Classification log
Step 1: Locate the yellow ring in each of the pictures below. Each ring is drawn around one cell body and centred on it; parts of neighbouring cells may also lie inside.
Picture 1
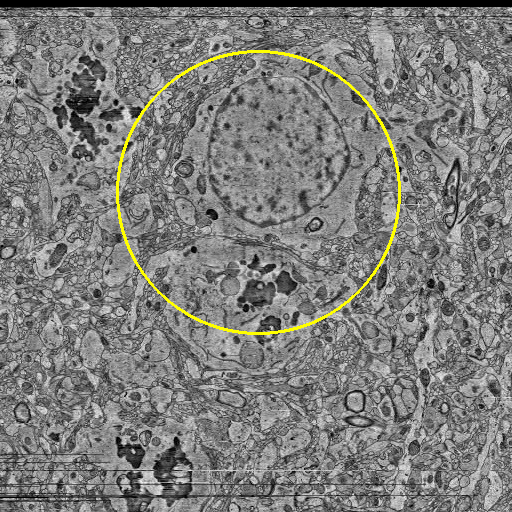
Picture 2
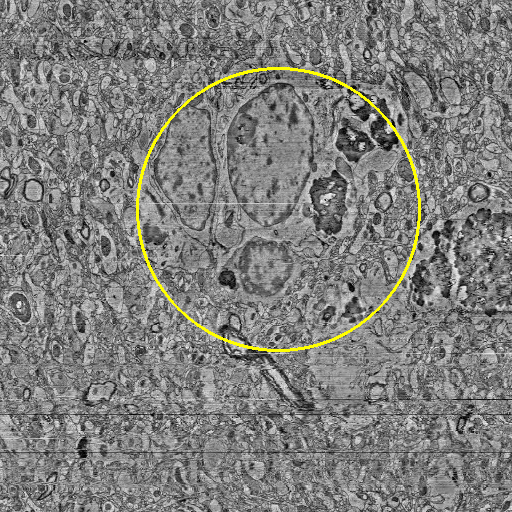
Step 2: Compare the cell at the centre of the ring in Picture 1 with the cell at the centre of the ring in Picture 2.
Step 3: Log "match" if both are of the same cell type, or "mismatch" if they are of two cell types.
match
